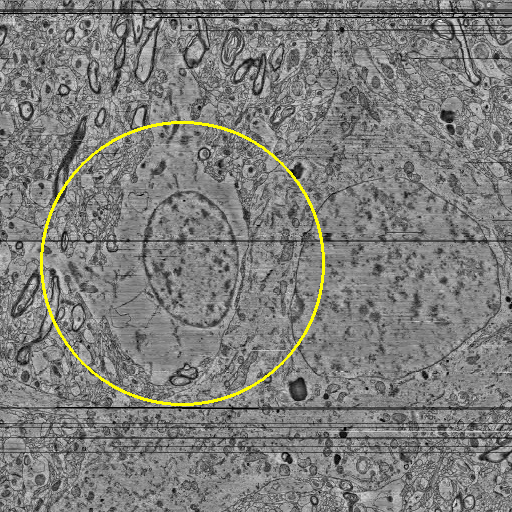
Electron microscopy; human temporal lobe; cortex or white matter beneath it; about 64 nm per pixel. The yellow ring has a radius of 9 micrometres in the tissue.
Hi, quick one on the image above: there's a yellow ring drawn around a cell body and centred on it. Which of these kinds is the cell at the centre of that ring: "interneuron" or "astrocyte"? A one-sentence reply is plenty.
The cell at the centre of the ring is an astrocyte.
